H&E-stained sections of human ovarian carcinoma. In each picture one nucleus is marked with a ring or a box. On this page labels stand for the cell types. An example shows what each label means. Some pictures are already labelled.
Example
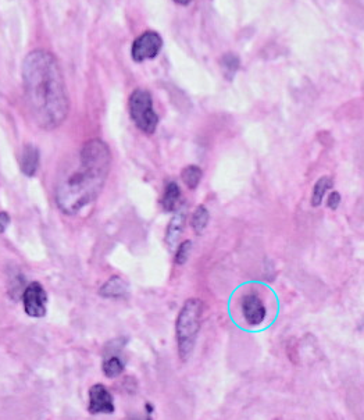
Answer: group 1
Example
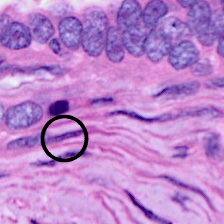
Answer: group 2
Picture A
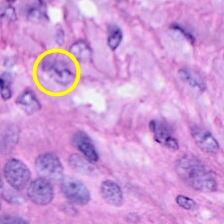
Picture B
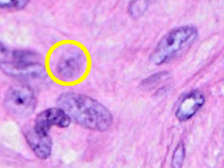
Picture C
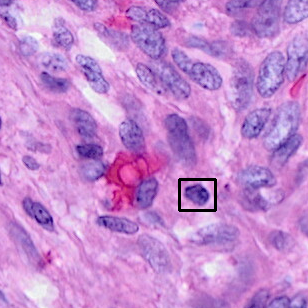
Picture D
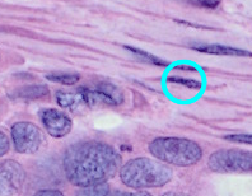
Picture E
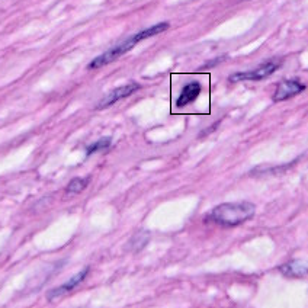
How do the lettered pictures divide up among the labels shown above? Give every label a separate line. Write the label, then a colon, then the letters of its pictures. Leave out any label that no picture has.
group 1: C, E
group 2: A, B, D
